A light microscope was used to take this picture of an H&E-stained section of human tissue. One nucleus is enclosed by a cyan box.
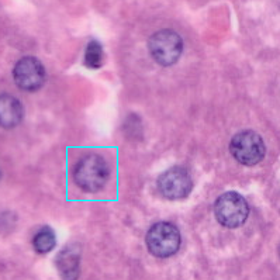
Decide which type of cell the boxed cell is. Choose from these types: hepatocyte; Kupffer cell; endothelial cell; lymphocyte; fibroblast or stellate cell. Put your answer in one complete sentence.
The cell type represented by the boxed cell is that of a hepatocyte.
